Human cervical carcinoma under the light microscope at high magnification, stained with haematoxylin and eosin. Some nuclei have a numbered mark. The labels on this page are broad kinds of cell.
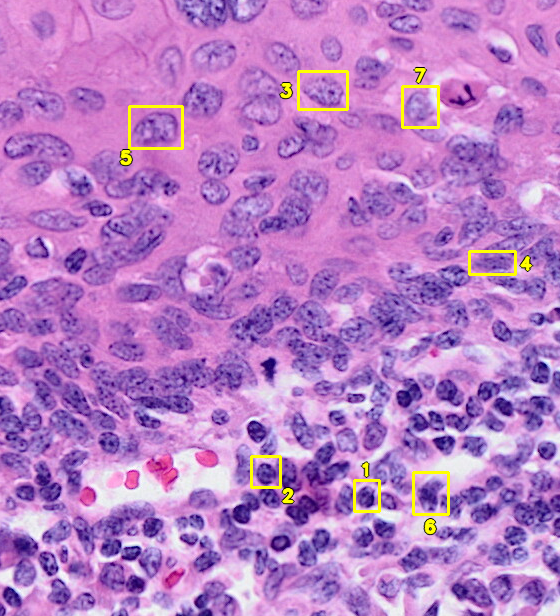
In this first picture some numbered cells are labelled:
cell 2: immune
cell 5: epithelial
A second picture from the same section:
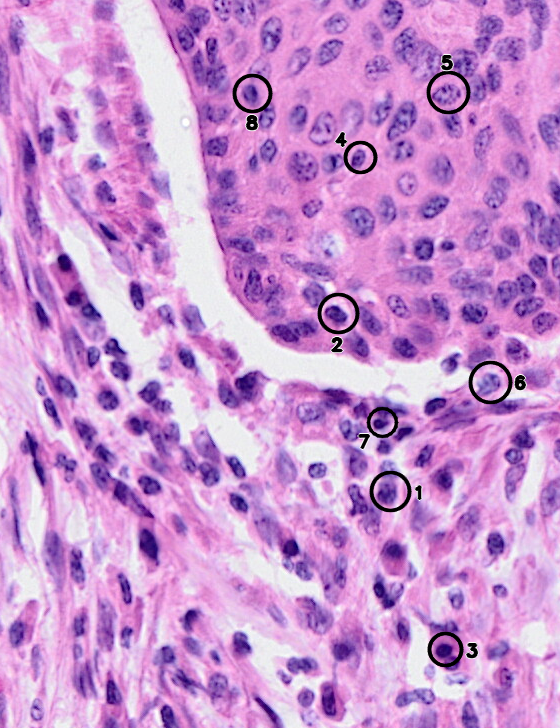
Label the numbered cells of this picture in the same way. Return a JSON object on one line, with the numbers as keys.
{"1": "immune", "2": "immune", "3": "immune", "4": "epithelial", "5": "epithelial", "6": "immune", "7": "immune", "8": "epithelial"}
